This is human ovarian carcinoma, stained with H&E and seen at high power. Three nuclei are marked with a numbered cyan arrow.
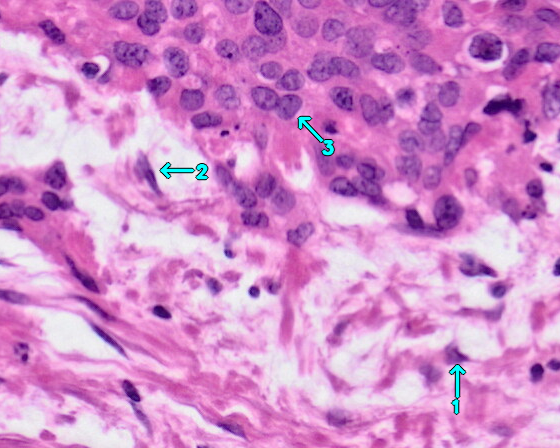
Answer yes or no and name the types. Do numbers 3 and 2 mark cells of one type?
No, as for cell 3, it is a carcinoma cell, and cell 2 is a fibroblast.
